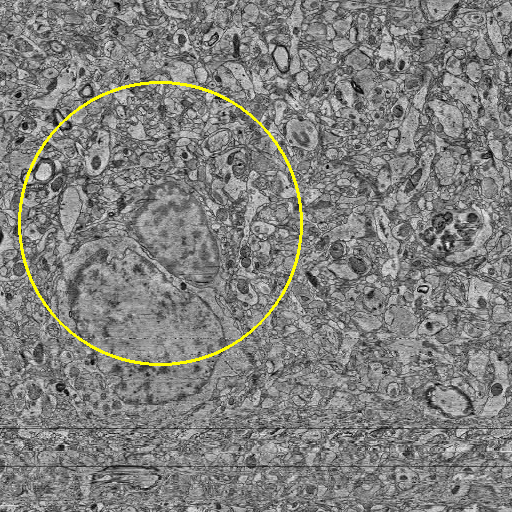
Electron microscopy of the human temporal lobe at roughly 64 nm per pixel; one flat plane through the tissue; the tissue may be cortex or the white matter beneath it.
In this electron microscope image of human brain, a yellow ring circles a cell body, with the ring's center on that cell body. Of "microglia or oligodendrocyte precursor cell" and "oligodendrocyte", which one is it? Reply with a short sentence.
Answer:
It is an oligodendrocyte at the center of the ring.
